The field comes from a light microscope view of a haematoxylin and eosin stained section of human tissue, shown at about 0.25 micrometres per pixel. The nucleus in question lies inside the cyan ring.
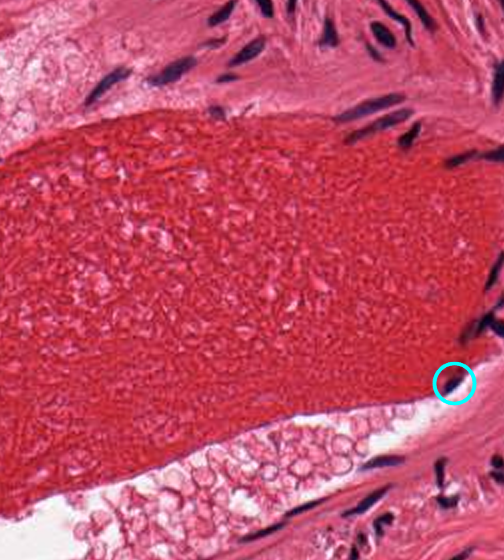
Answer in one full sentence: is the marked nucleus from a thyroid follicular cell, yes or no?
No, a thyroid follicular cell is not the cell of the marked nucleus; a supporting cell is.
